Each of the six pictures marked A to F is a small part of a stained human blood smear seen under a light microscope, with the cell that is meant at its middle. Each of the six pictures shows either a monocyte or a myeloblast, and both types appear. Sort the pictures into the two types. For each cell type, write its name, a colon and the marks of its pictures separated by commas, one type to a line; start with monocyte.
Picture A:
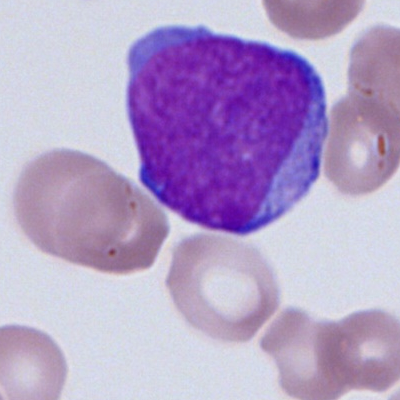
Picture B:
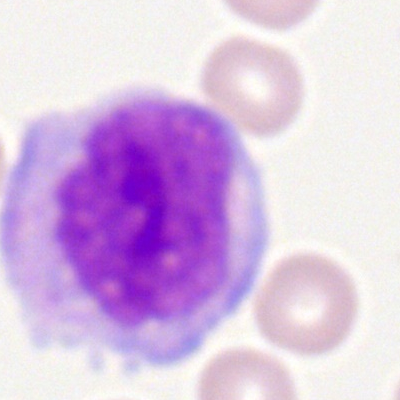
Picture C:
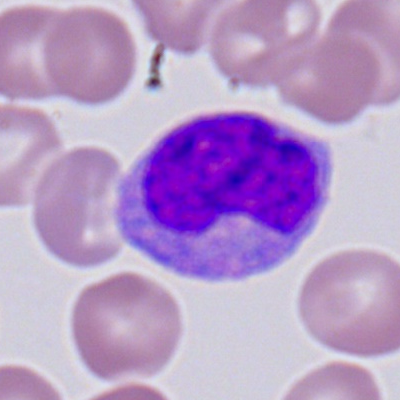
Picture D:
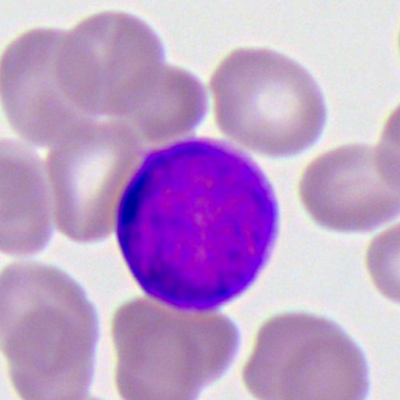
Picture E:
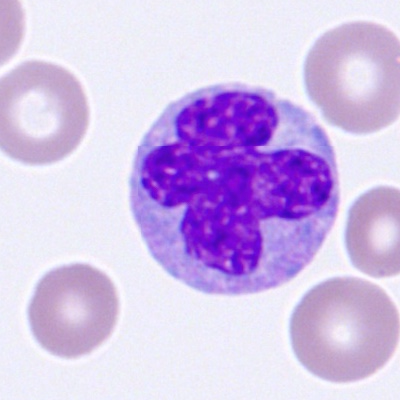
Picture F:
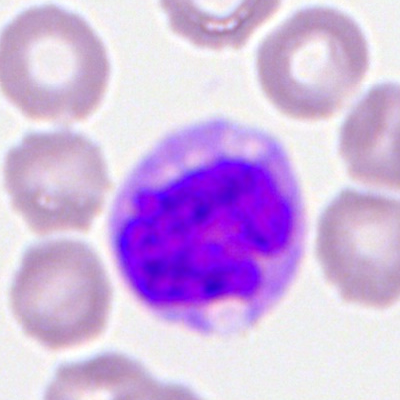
monocyte: B, C, E, F
myeloblast: A, D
